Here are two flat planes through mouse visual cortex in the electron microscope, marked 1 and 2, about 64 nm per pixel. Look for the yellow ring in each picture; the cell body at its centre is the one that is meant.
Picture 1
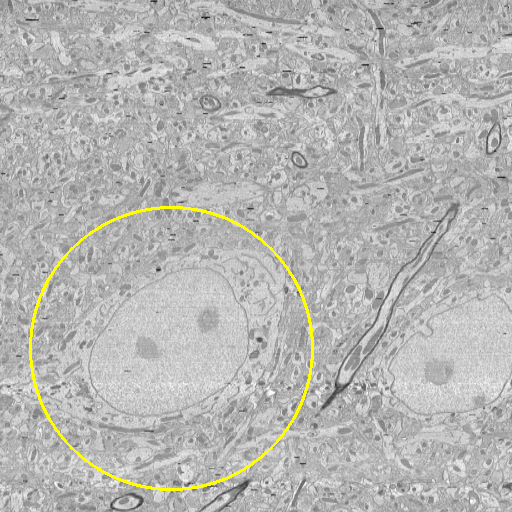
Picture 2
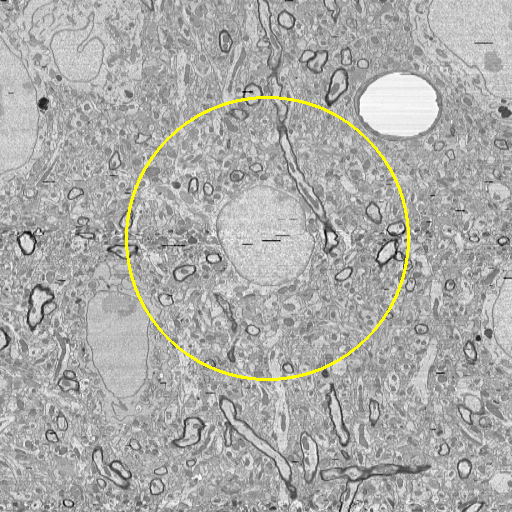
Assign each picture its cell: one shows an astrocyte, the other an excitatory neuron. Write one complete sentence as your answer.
Picture 2 shows an astrocyte, while picture 1 shows an excitatory neuron.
